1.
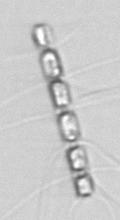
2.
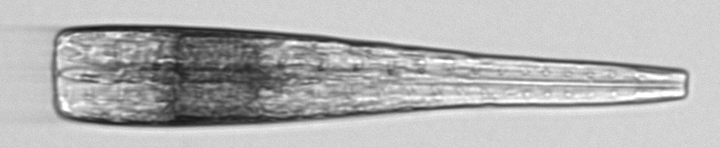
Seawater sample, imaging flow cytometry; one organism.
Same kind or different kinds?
Different: the first is Chaetoceros, the second Licmophora.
